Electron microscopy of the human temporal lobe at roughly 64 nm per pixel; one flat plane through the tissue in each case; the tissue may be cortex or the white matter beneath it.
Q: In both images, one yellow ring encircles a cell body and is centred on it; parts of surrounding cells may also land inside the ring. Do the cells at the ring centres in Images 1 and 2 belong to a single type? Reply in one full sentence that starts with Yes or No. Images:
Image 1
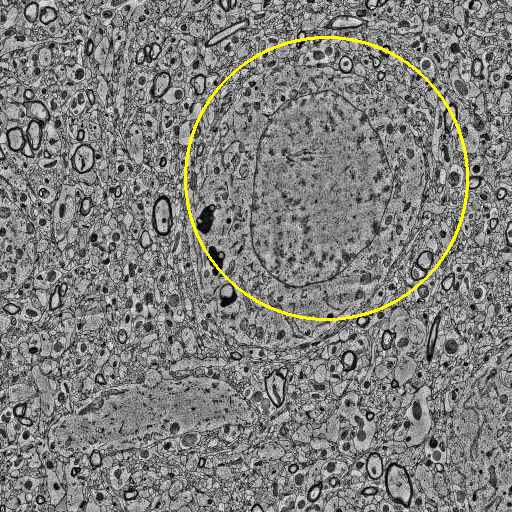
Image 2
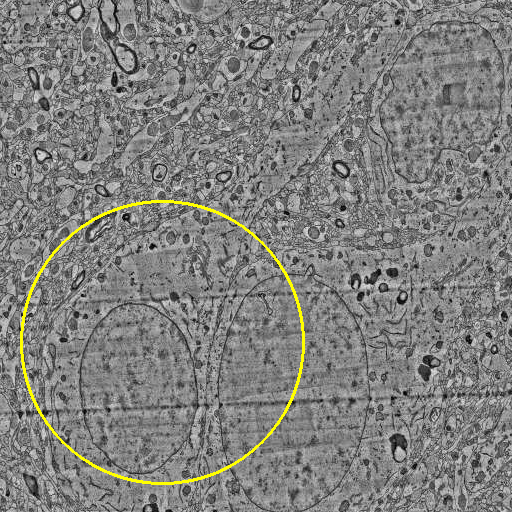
Yes, the cells at the ring centres in Images 1 and 2 are of a single type.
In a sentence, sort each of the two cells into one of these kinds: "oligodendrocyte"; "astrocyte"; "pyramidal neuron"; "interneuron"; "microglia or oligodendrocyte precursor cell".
Both cells are the same kind, each one being a pyramidal neuron.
